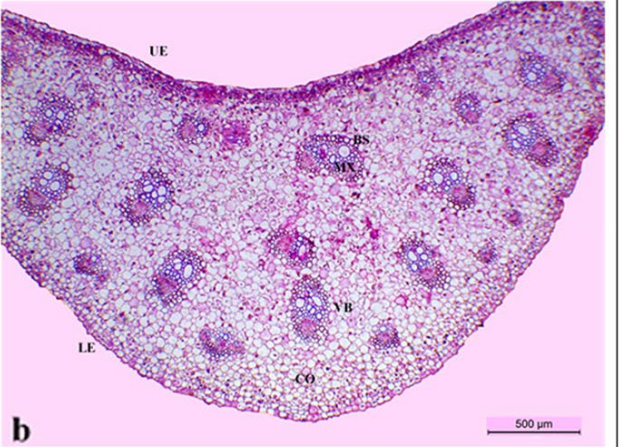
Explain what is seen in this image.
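A broad, thick cross-section of a leaf is shown, its upper surface shallowly curved and its lower side bulging. A thin layer of small, densely stained epidermal cells lines both faces, with a few rows of small, thick-walled cells just inside the lower surface. The interior is filled with large, round, pale parenchyma cells in which many vascular bundles of various sizes are scattered, each with wide, open xylem vessels ringed by smaller dark purple cells forming a sheath. This is the midrib of a monocot leaf with scattered vascular bundles, bundle sheaths, metaxylem and collenchyma below the lower epidermis.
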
